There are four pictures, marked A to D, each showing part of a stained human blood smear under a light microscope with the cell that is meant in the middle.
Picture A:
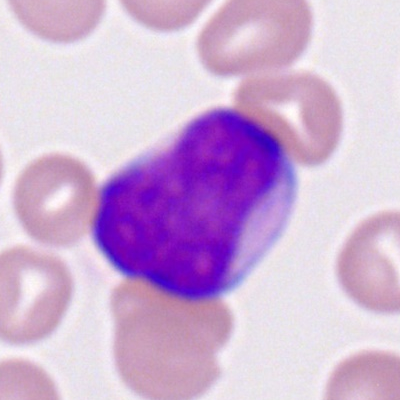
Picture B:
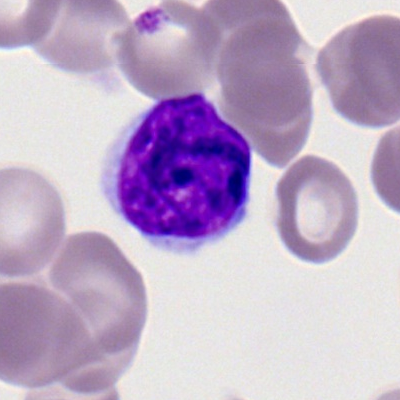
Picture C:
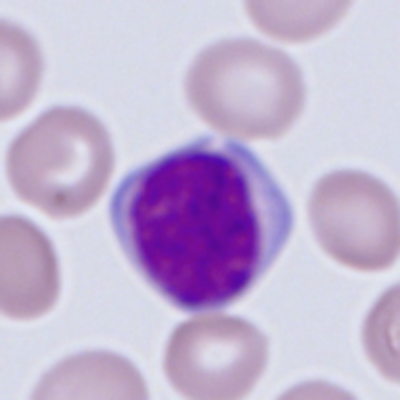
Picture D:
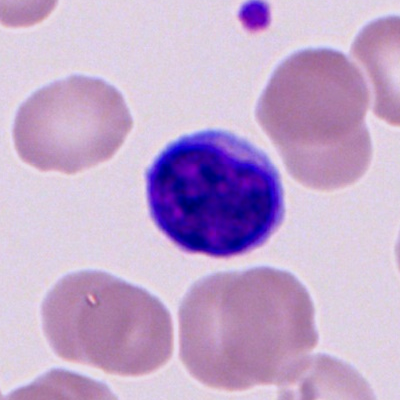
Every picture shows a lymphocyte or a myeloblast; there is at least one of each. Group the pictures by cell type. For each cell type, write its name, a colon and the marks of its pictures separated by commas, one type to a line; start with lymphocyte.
lymphocyte: B, C, D
myeloblast: A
